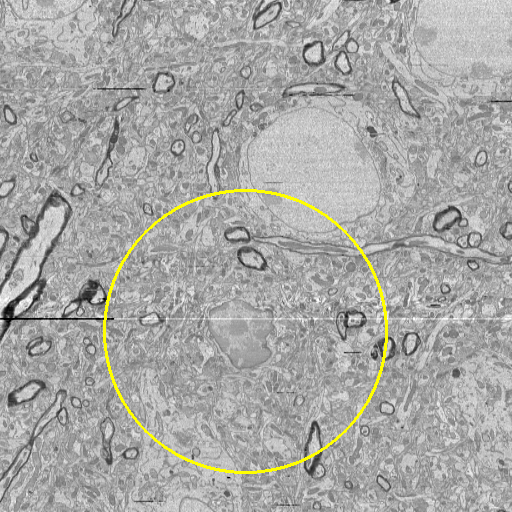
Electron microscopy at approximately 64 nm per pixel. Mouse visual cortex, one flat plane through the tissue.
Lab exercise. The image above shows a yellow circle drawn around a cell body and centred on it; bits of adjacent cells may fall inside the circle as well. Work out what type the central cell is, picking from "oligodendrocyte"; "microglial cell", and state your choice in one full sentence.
In the image above, the cell at the centre of the yellow circle is a microglial cell.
